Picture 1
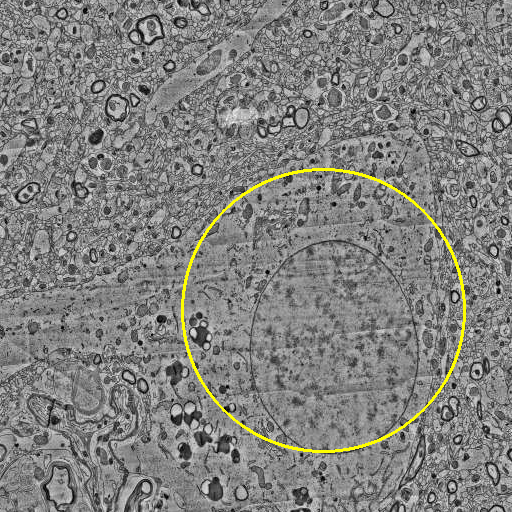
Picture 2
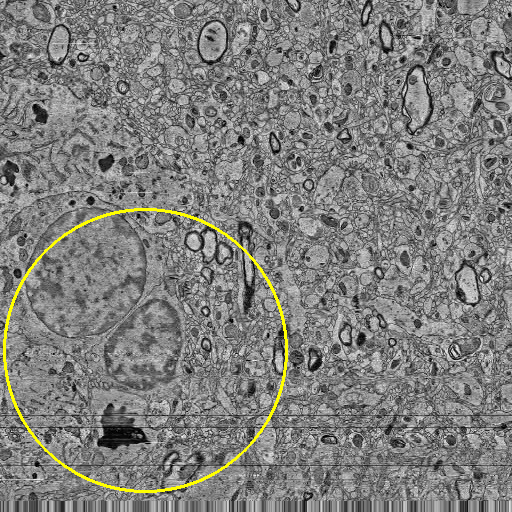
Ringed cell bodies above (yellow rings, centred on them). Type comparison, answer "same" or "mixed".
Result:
mixed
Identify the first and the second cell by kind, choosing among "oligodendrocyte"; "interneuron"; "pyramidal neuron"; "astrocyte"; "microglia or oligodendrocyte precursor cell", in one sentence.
The one in the first picture is a pyramidal neuron, while the one in the second is an oligodendrocyte.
